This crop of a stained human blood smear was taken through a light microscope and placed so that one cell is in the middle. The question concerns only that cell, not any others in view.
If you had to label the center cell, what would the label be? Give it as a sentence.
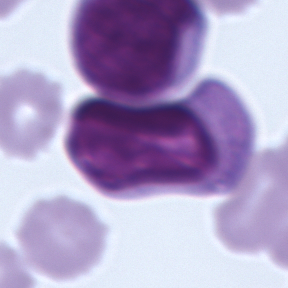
The cell under consideration, at the middle of the crop, is a myeloblast.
